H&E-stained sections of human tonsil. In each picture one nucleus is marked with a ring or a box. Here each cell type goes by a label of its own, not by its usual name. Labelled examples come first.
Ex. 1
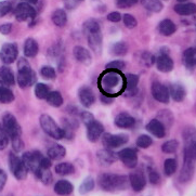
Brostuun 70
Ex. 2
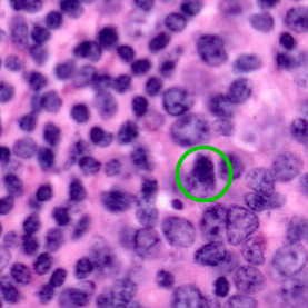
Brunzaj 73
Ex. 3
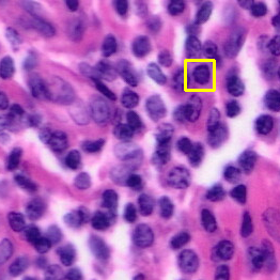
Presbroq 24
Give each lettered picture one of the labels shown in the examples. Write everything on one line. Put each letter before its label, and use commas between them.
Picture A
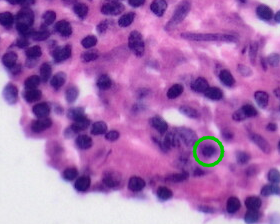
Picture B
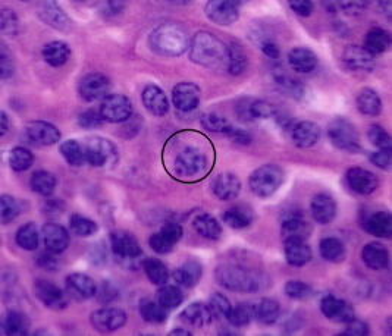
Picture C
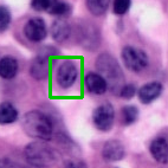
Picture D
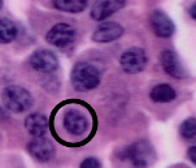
A Presbroq 24, B Presbroq 24, C Presbroq 24, D Presbroq 24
